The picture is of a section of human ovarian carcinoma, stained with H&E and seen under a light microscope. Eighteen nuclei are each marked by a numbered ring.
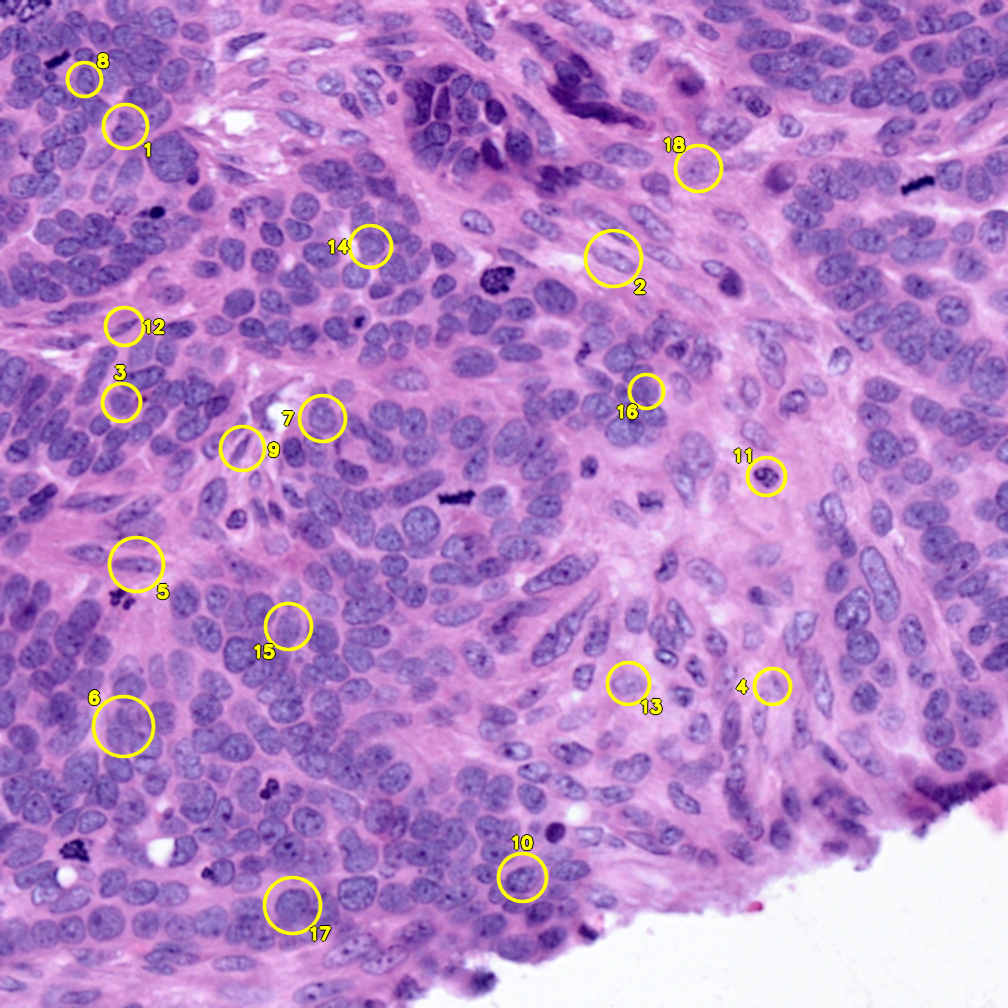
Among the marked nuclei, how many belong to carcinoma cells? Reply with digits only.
10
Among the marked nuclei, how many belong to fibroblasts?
7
